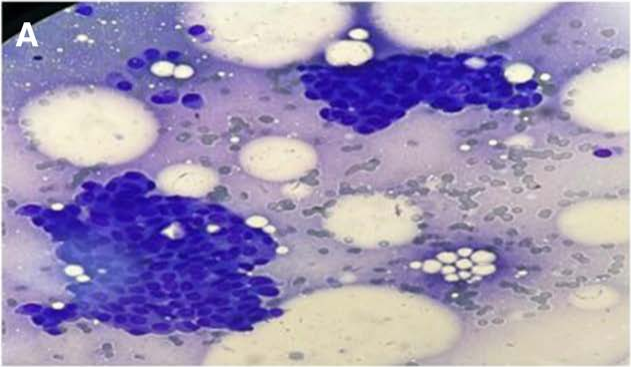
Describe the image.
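This is a cytology smear showing clusters of epithelial cells on a pale purple background. The cells form tight, crowded groups with dark blue, round to oval nuclei that overlap one another, and little cytoplasm is visible. The background contains scattered red blood cells and many round clear spaces of varying size.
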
